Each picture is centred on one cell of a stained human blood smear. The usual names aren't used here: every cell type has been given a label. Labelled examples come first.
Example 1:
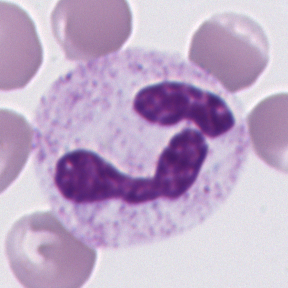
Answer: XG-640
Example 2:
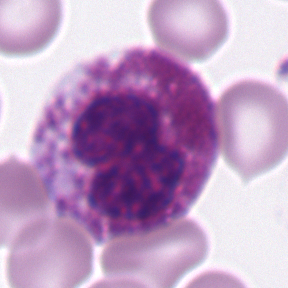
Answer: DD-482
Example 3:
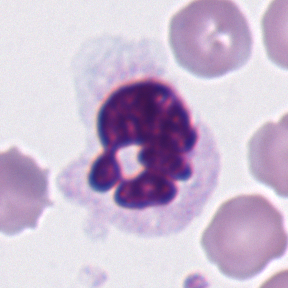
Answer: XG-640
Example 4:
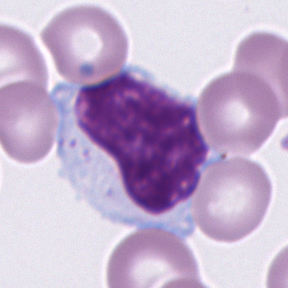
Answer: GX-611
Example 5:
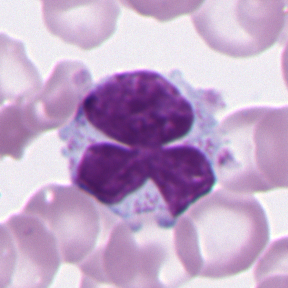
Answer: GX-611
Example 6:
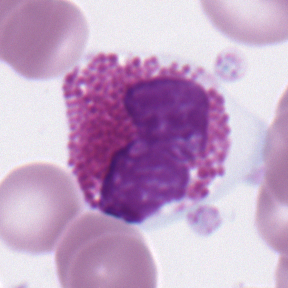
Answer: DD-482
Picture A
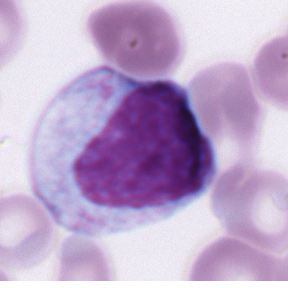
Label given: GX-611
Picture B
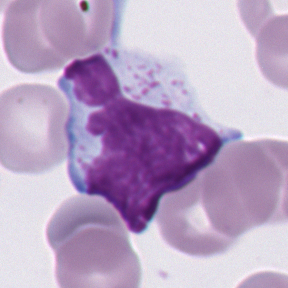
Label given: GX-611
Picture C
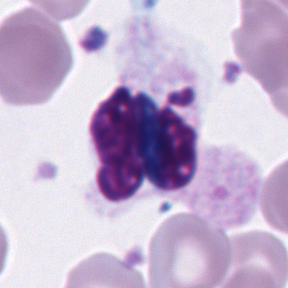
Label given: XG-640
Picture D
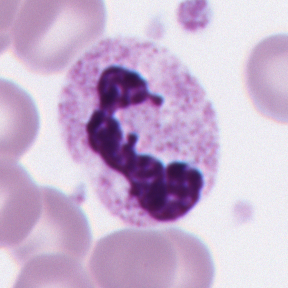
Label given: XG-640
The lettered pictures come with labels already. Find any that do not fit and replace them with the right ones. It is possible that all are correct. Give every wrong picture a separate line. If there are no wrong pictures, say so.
No label is wrong.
